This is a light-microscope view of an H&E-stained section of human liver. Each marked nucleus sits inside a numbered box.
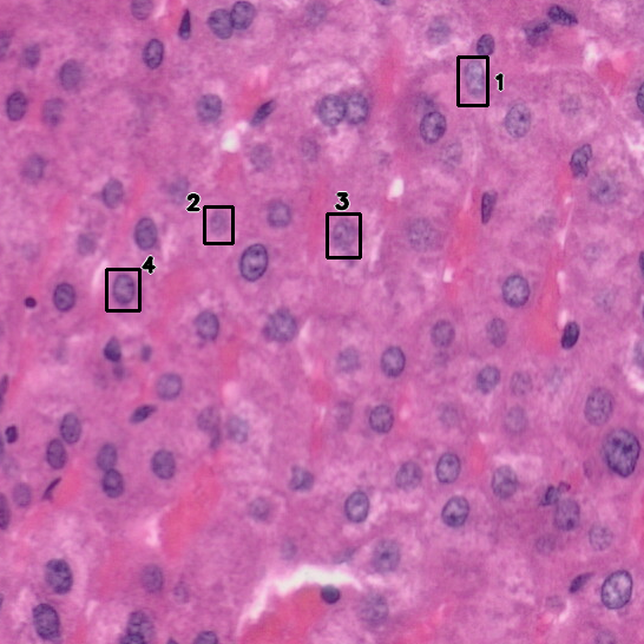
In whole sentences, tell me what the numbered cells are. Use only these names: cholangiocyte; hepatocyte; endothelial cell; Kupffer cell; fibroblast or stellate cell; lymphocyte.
Cell 1 is a cholangiocyte, cell 2 is a hepatocyte, cell 3 is a hepatocyte and cell 4 is a hepatocyte.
